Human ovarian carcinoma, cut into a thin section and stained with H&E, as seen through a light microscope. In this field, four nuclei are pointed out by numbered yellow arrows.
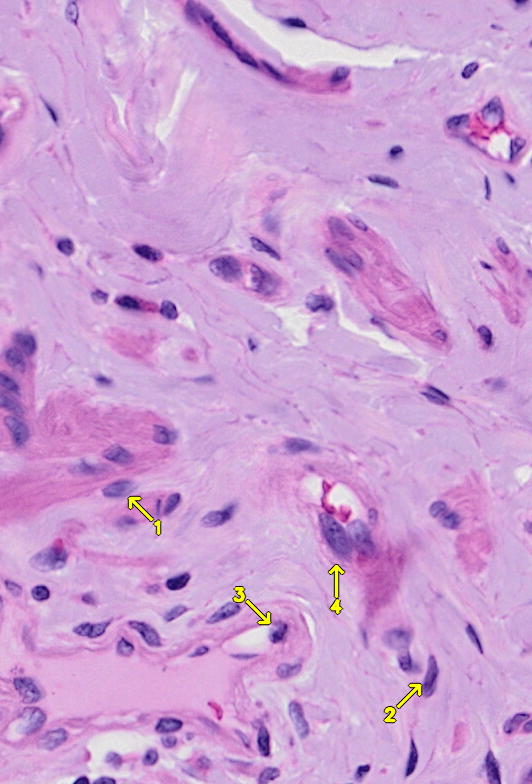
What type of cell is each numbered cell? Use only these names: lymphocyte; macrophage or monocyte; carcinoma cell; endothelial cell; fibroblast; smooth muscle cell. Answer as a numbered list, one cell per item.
1. smooth muscle cell
2. fibroblast
3. endothelial cell
4. endothelial cell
